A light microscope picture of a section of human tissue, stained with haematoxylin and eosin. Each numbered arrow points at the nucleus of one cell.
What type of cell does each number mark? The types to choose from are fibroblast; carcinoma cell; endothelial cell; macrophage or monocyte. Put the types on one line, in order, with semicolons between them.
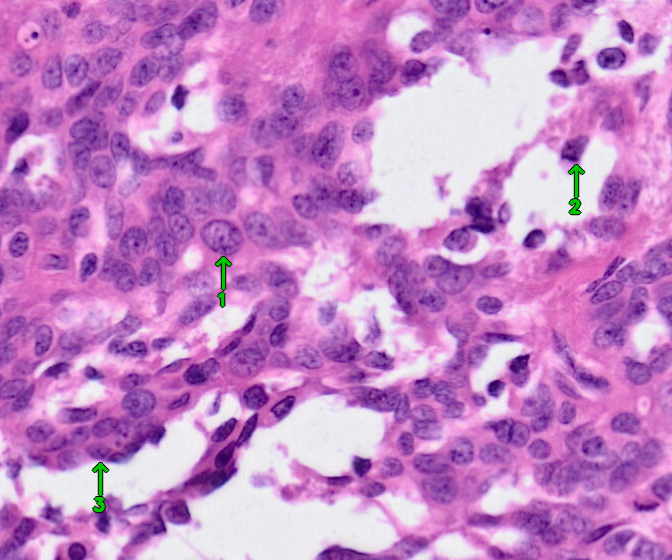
carcinoma cell; macrophage or monocyte; carcinoma cell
